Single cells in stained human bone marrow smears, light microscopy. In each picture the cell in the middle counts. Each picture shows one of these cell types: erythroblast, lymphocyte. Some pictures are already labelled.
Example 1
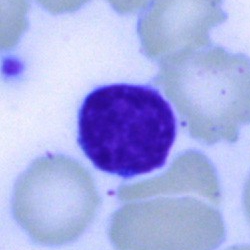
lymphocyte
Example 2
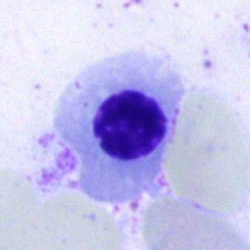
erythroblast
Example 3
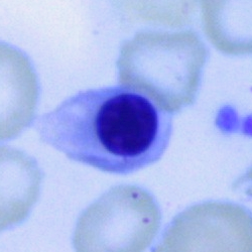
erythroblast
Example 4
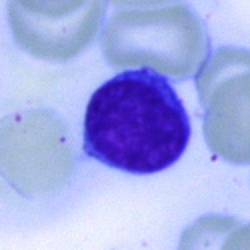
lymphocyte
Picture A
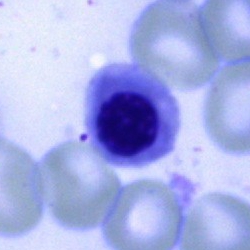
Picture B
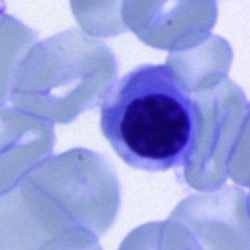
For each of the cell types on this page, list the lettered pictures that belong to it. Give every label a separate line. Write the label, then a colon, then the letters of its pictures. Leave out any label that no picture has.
erythroblast: A, B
